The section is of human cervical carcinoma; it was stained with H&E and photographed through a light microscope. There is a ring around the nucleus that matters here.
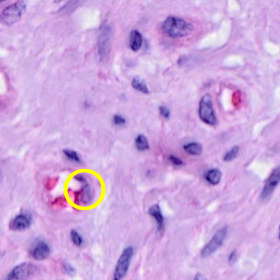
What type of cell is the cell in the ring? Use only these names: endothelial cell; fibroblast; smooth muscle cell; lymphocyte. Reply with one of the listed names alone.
endothelial cell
